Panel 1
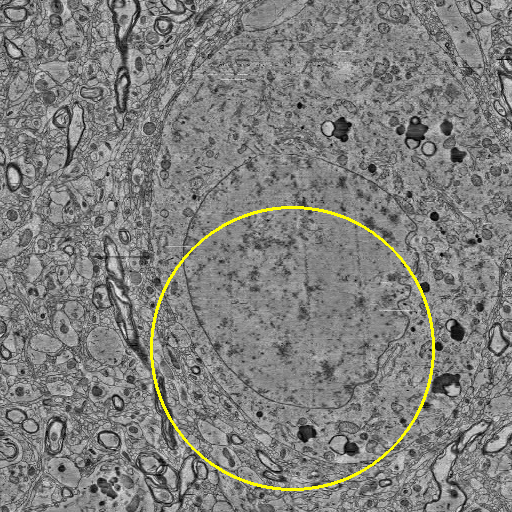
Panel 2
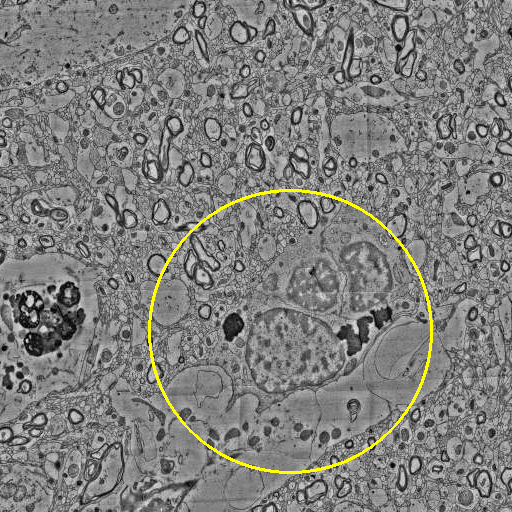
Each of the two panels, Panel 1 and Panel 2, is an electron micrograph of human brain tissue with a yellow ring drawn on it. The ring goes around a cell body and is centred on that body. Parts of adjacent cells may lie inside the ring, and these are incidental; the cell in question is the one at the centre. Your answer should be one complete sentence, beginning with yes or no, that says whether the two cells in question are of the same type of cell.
No, the two cells are of two types.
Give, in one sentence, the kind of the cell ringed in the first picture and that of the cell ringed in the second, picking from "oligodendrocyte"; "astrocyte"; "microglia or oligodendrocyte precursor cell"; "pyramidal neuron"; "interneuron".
For the first picture it is a pyramidal neuron; for the second, an oligodendrocyte.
